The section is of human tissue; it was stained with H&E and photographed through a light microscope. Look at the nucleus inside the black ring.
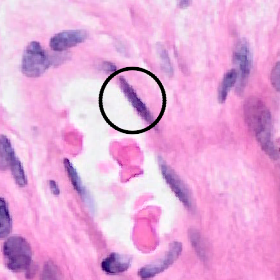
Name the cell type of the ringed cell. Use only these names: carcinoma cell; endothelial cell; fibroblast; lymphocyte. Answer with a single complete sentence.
The ringed cell is an endothelial cell.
